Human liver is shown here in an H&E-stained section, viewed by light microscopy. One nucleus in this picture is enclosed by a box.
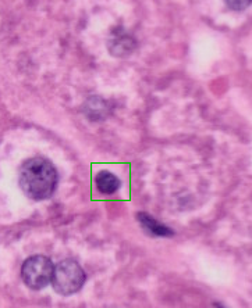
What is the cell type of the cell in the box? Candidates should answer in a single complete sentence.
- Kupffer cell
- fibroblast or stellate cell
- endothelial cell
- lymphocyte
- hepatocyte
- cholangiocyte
Students should answer that the cell in the box is a lymphocyte.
